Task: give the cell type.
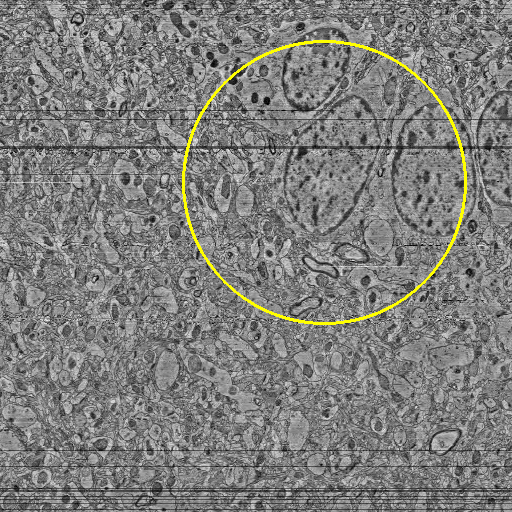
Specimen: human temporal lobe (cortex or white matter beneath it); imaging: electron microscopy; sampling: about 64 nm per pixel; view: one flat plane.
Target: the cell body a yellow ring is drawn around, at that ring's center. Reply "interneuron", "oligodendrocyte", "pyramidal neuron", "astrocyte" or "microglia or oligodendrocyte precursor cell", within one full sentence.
In this picture, the cell whose body lies at the ring's center is an astrocyte.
